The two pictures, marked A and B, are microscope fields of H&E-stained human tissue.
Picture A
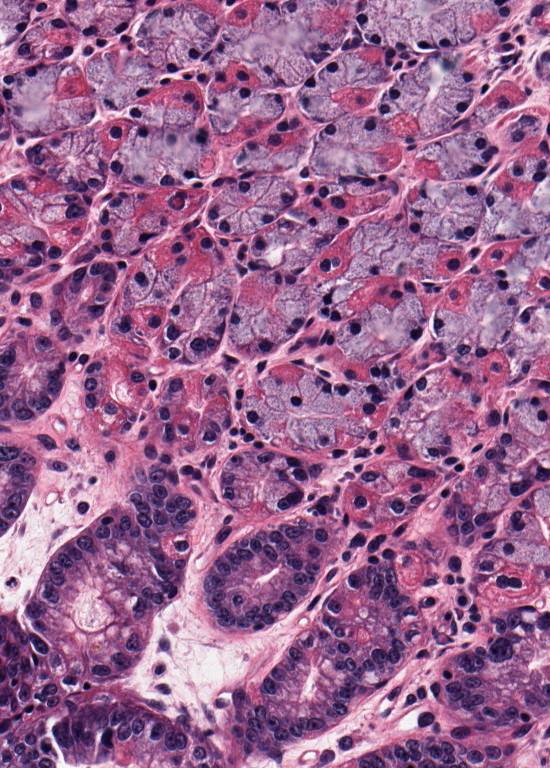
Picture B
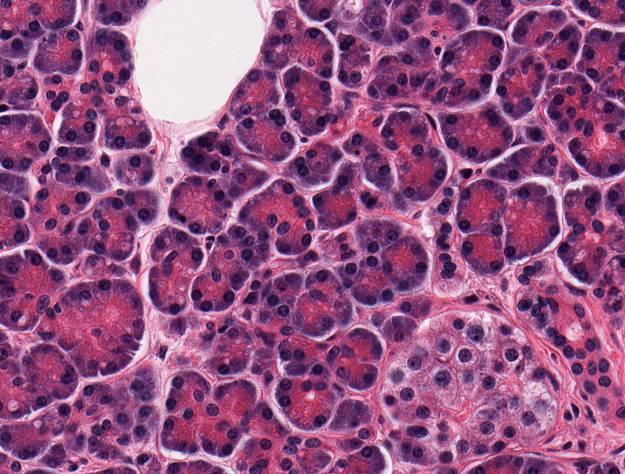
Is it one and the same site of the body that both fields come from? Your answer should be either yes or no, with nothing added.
no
